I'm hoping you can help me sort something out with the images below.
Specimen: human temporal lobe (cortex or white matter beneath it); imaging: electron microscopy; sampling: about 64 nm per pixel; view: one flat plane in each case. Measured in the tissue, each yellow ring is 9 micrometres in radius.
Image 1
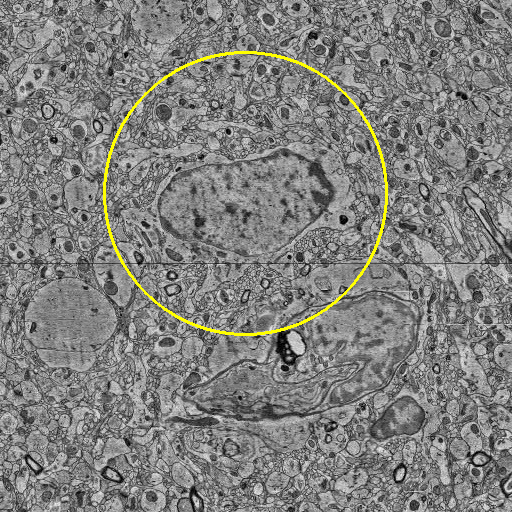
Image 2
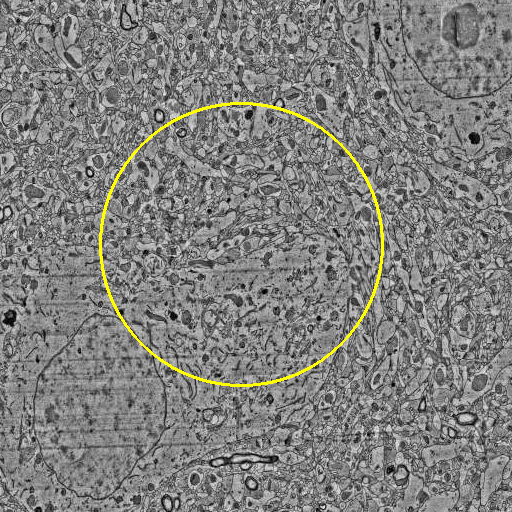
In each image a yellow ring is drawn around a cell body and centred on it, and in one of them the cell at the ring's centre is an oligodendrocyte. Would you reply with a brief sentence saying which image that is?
In Image 2, the cell at the centre of the ring is the one you asked about.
